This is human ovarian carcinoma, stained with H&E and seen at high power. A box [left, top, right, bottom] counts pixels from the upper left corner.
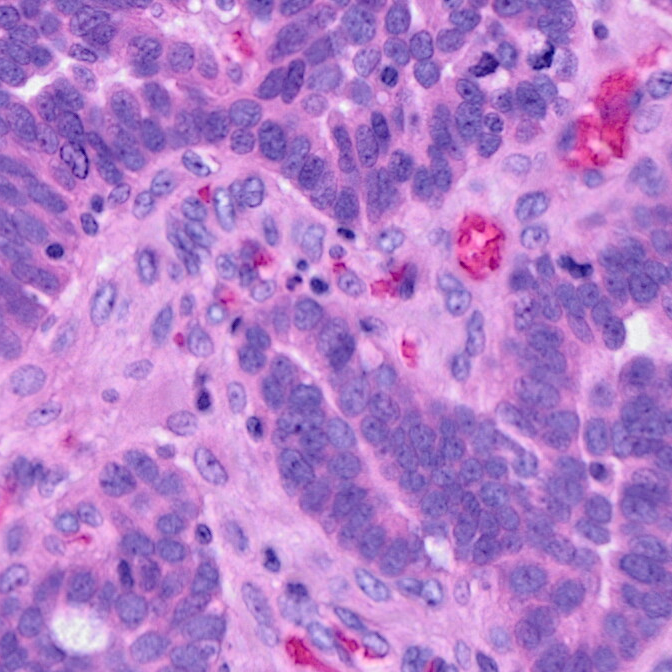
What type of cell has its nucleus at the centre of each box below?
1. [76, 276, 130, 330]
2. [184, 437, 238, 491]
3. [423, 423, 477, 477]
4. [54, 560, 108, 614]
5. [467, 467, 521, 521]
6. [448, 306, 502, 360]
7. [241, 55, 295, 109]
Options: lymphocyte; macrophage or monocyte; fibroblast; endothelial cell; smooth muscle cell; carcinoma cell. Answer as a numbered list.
1. fibroblast
2. fibroblast
3. carcinoma cell
4. carcinoma cell
5. carcinoma cell
6. fibroblast
7. carcinoma cell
